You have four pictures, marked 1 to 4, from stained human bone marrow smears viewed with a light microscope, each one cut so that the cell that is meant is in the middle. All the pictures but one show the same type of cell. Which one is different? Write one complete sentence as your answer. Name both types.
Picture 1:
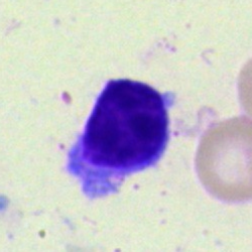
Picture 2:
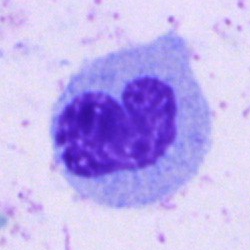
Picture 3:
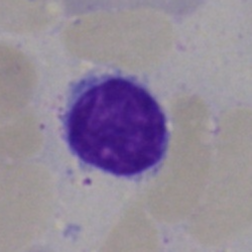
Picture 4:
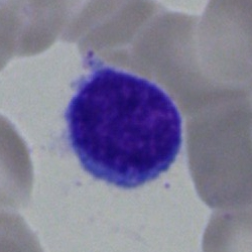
All pictures except 2 show lymphocytes; picture 2 shows a monocyte.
